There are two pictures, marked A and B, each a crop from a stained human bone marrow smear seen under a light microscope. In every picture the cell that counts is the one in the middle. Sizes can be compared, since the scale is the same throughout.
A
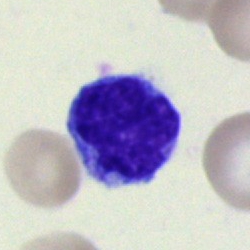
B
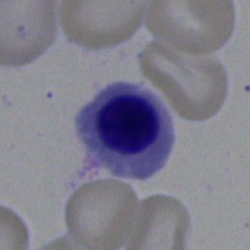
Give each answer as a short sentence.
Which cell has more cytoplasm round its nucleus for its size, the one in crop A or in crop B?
Of the two, the nucleus in crop B leaves more room for cytoplasm.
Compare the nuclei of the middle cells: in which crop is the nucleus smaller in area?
Smaller is the nucleus in crop B, and the other is about 3 times as large in area.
